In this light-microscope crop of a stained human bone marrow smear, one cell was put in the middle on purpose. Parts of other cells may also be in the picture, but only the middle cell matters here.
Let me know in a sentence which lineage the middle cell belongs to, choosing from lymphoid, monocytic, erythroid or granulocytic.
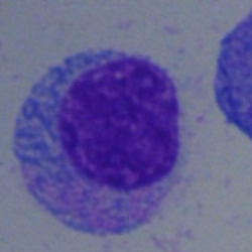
Regarding the central cell, its lineage is granulocytic.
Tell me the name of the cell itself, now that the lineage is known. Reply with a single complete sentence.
The cell the crop is centered on is a myelocyte.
